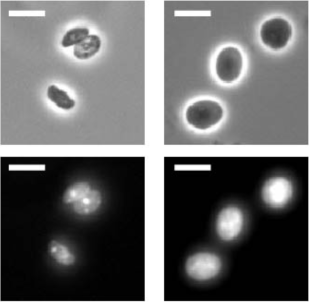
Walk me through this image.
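On the left the nuclei look small, irregular and somewhat shrunken, with wrinkled, uneven outlines, and one pair lies touching; the stained images show patchy fluorescence with brighter specks inside. On the right the nuclei are larger, smoothly oval and well separated, each ringed by a bright halo in the transmitted-light view, and their fluorescence fills the whole nucleus fairly evenly. No cytoplasm or cell membrane surrounds any of them.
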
